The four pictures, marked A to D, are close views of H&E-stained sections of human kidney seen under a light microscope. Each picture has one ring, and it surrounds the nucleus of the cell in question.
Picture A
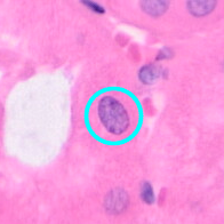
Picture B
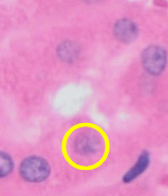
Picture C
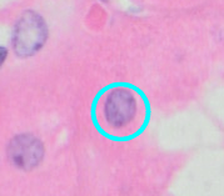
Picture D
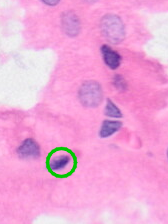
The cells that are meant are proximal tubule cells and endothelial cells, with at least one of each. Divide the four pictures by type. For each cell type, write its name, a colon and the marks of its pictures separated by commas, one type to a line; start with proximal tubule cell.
proximal tubule cell: A, B, C
endothelial cell: D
